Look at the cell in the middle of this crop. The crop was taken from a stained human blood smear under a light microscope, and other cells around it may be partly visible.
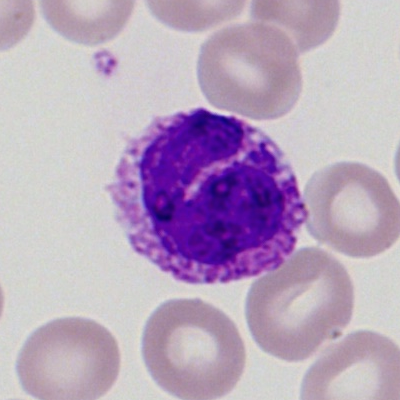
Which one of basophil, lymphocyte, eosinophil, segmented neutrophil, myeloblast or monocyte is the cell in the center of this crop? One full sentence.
The central cell in this smear crop is a basophil.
